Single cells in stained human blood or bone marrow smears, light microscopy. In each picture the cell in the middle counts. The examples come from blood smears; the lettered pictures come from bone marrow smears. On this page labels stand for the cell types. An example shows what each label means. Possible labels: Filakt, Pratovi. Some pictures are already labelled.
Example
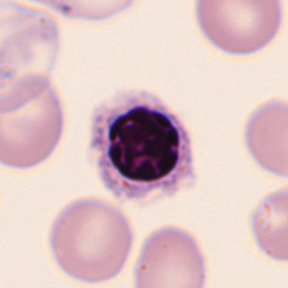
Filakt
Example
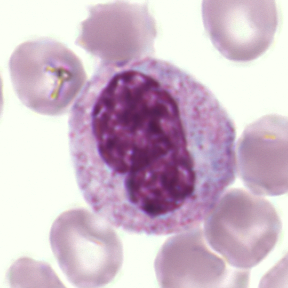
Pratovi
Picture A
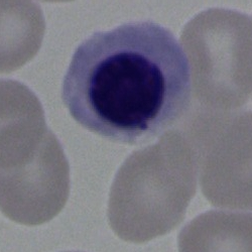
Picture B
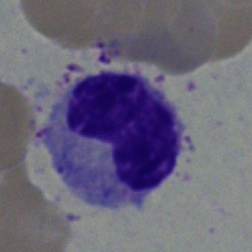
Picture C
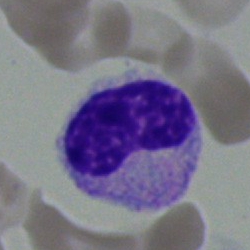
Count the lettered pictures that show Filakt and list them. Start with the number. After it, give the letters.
1, namely A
